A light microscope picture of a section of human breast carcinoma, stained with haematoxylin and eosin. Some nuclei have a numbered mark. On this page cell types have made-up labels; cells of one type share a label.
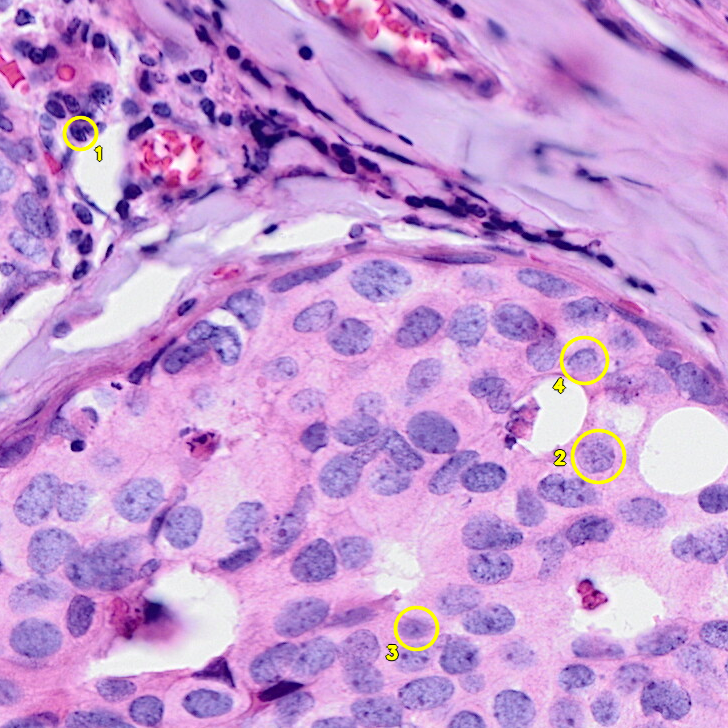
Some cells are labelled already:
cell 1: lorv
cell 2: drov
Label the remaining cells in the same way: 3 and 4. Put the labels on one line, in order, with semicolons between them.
drov; drov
